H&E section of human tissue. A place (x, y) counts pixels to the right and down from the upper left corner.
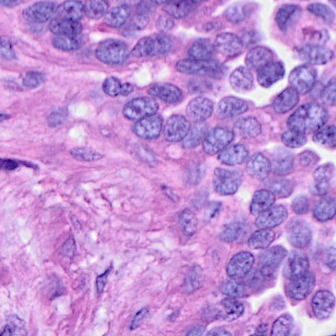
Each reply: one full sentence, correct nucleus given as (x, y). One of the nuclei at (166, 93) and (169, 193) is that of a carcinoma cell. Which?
The nucleus of a carcinoma cell is the one at (166, 93).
